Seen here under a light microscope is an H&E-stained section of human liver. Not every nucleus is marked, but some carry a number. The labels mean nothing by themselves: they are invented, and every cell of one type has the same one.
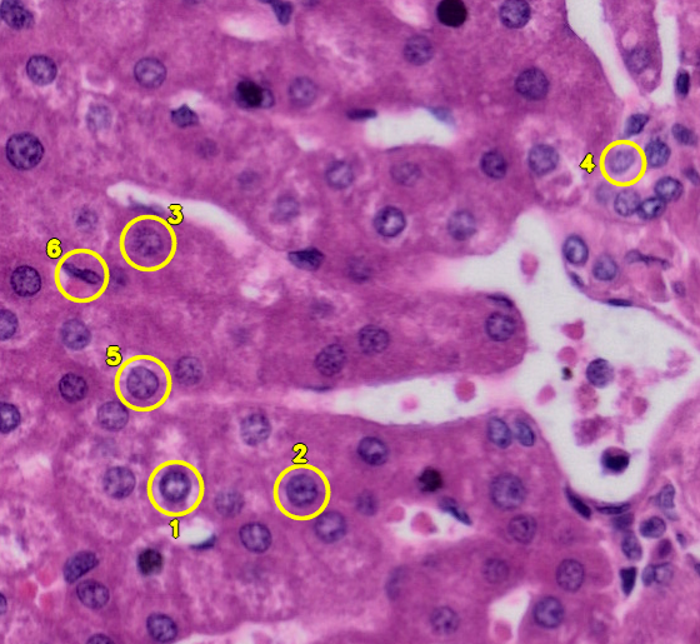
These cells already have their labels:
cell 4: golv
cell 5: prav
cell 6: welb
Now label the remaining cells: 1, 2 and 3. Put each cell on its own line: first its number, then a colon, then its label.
1: prav
2: prav
3: prav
